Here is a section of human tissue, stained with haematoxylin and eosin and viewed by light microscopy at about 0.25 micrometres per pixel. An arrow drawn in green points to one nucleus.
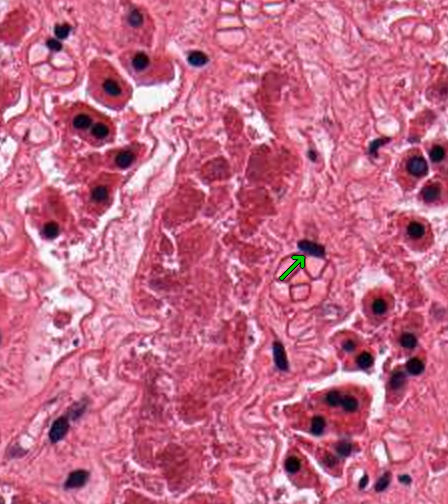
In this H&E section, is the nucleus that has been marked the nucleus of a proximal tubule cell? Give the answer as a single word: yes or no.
no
